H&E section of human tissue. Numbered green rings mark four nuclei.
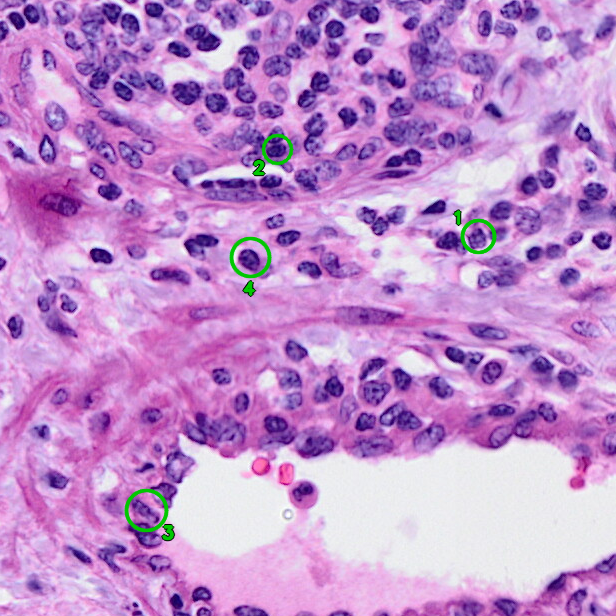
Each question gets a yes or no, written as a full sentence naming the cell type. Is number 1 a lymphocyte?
Yes, that is so; number 1 marks a lymphocyte.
